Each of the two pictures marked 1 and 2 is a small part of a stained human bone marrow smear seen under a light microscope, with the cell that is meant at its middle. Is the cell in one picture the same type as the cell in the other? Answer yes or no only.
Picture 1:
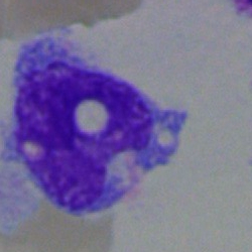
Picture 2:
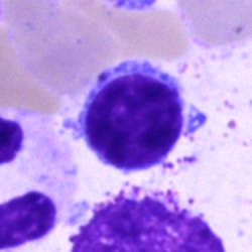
no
